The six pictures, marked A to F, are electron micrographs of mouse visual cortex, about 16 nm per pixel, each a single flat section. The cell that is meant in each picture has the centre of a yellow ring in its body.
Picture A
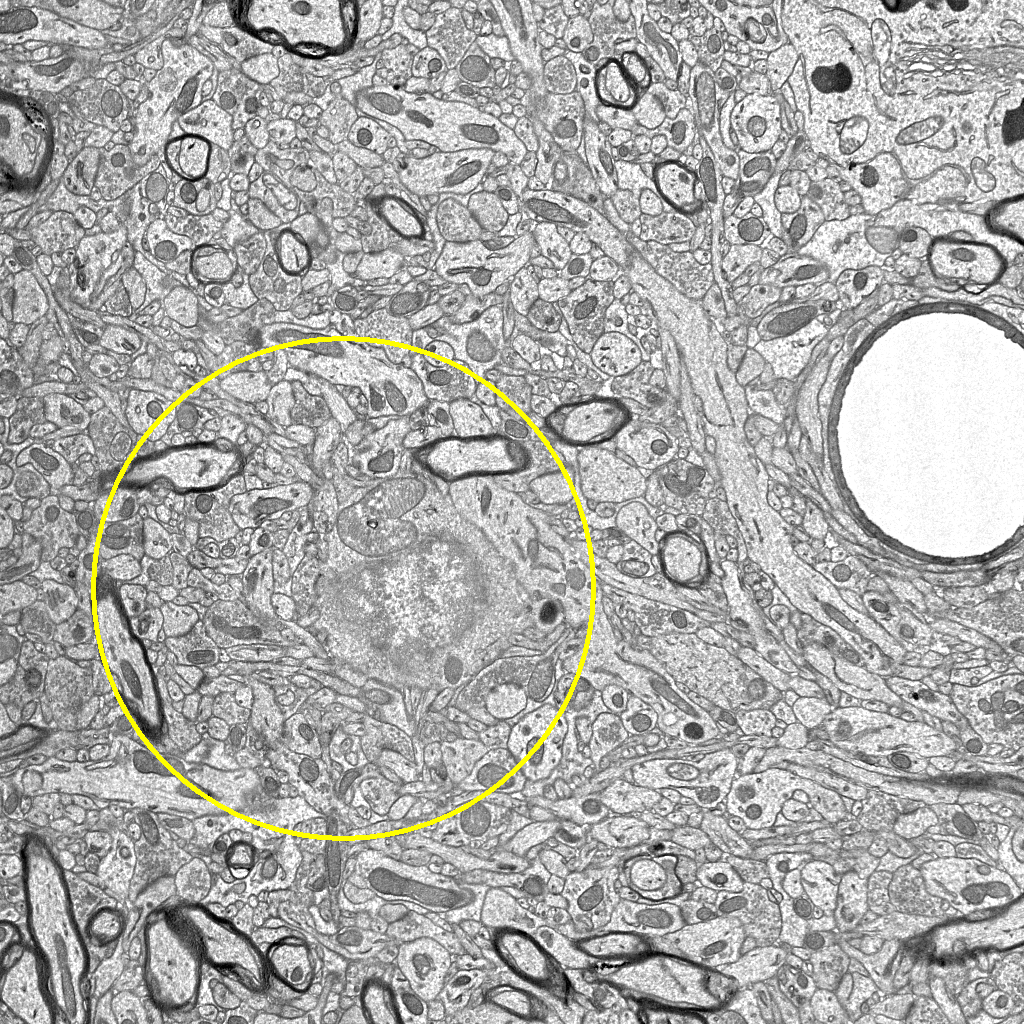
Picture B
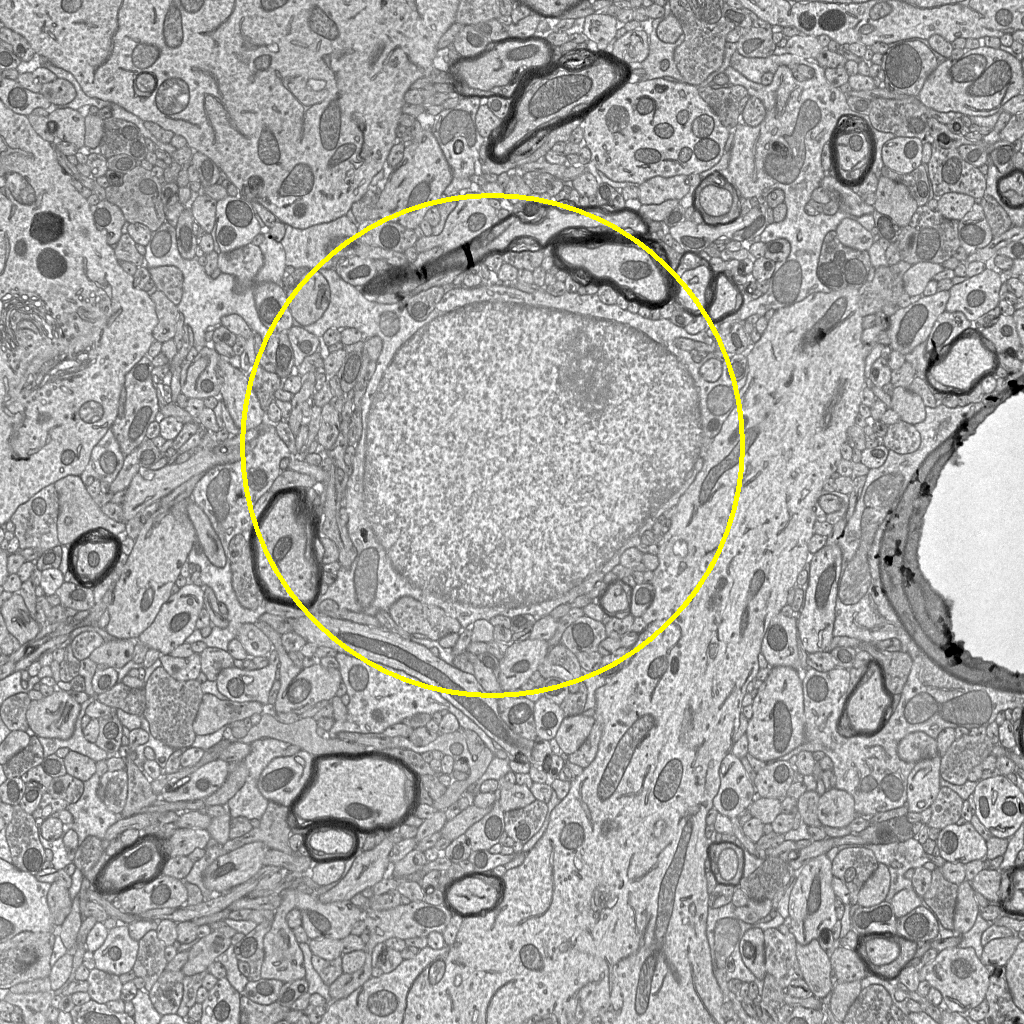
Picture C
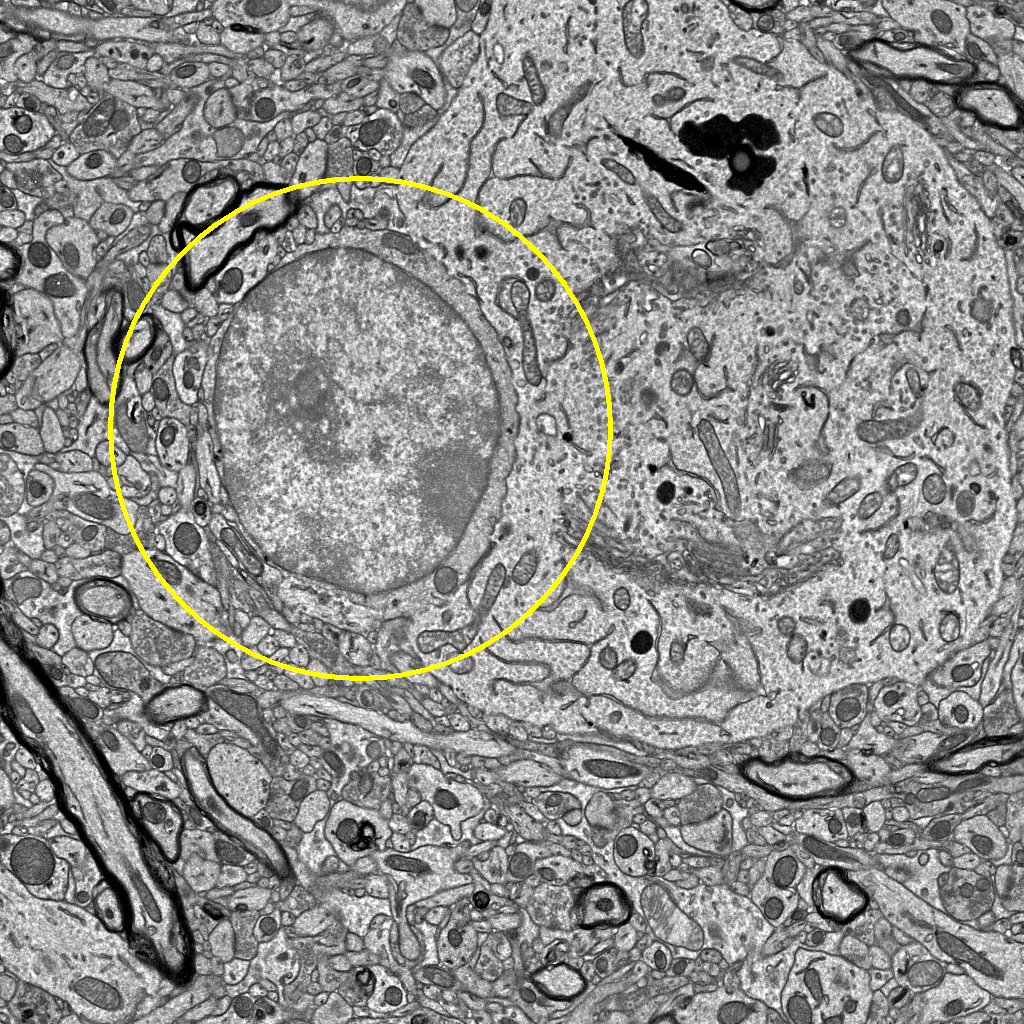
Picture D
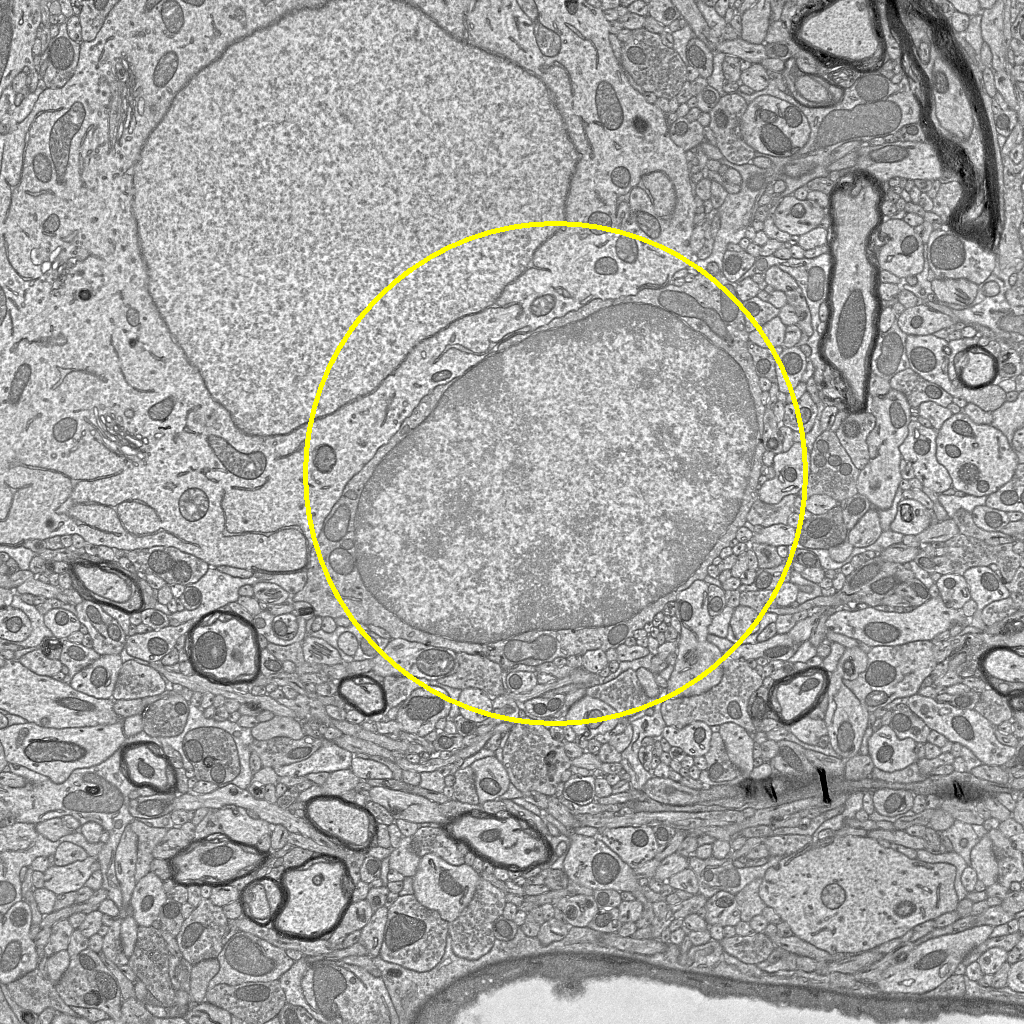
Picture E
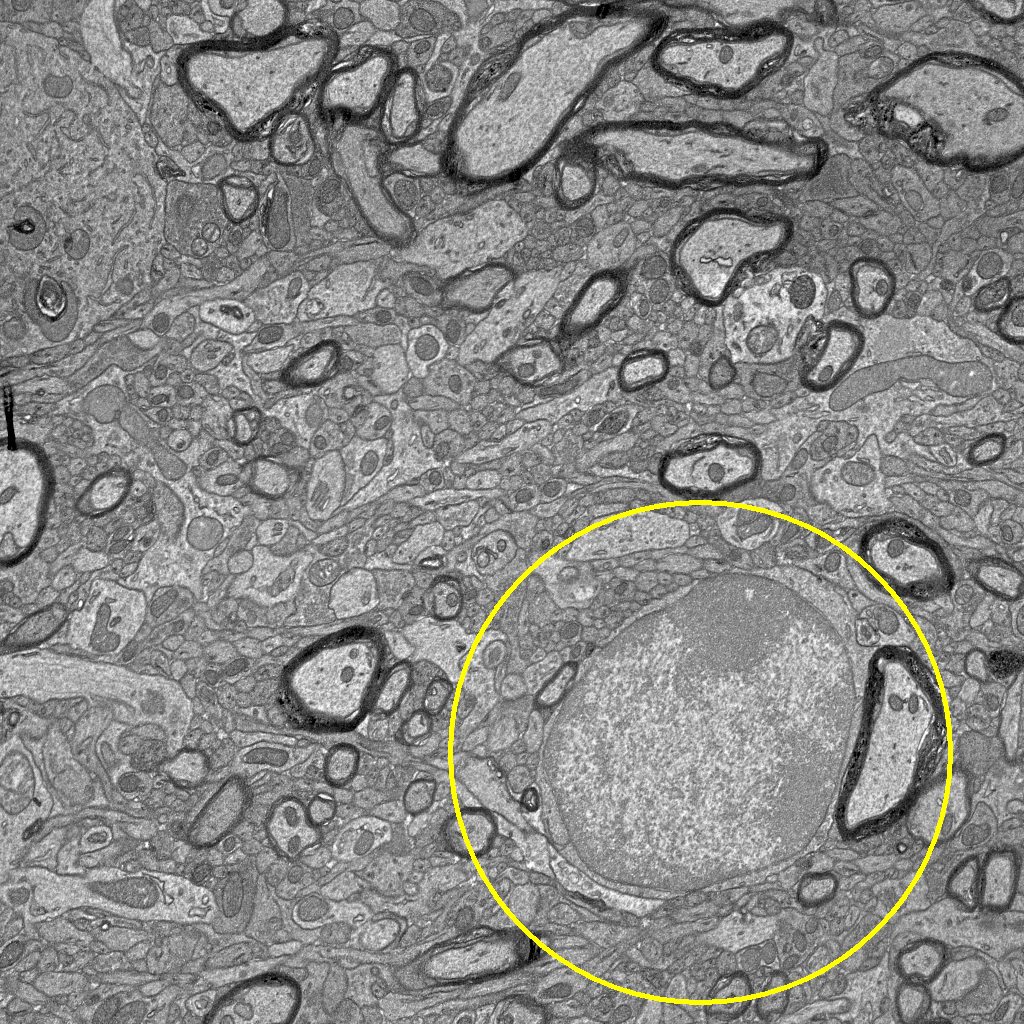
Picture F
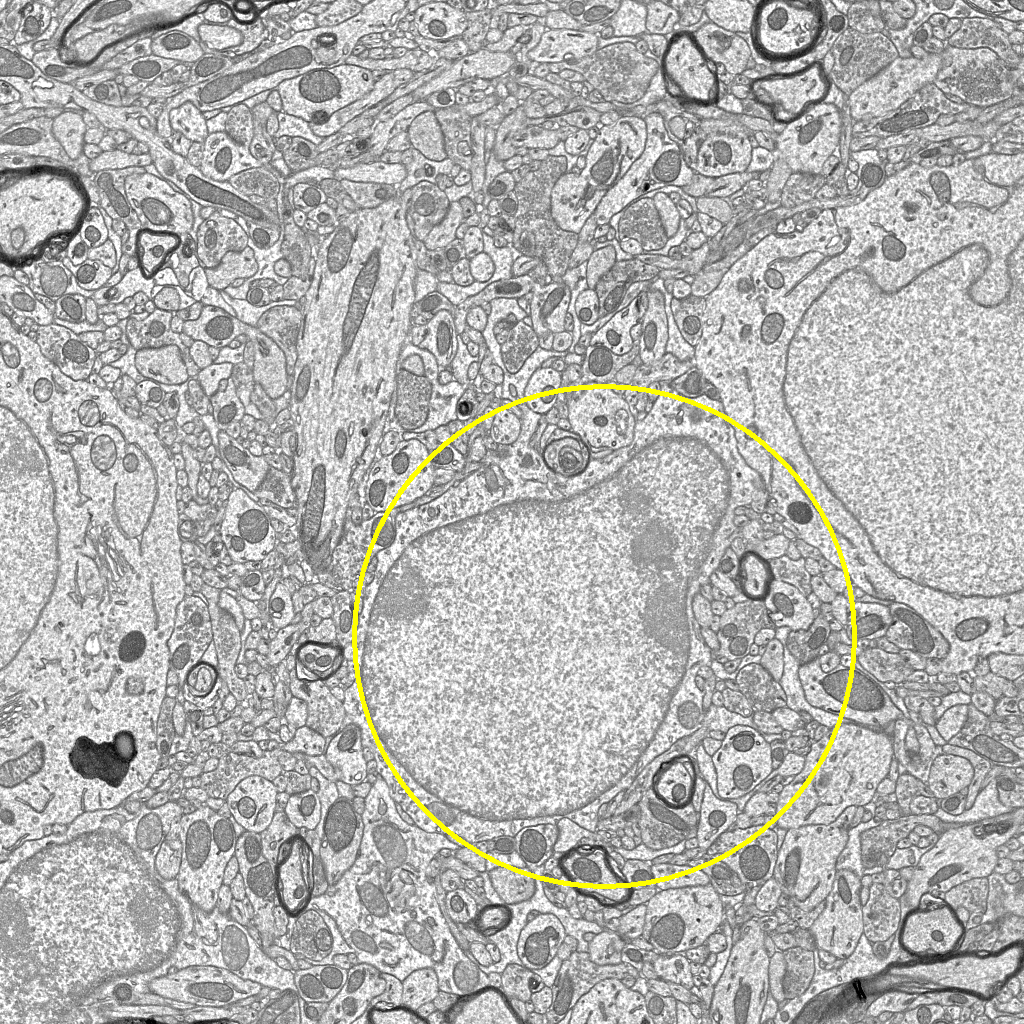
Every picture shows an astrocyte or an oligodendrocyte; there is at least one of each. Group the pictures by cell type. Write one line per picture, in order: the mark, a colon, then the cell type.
A: oligodendrocyte
B: astrocyte
C: oligodendrocyte
D: oligodendrocyte
E: oligodendrocyte
F: astrocyte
